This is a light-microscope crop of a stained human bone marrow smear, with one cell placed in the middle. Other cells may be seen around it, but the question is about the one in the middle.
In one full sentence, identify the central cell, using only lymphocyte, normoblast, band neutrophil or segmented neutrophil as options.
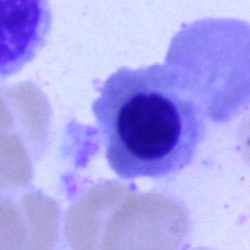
What sits at the centre of this crop is a normoblast.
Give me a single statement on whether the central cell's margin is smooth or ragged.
Along its border, the cell is uneven, whether by ragged stretches or by projections.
